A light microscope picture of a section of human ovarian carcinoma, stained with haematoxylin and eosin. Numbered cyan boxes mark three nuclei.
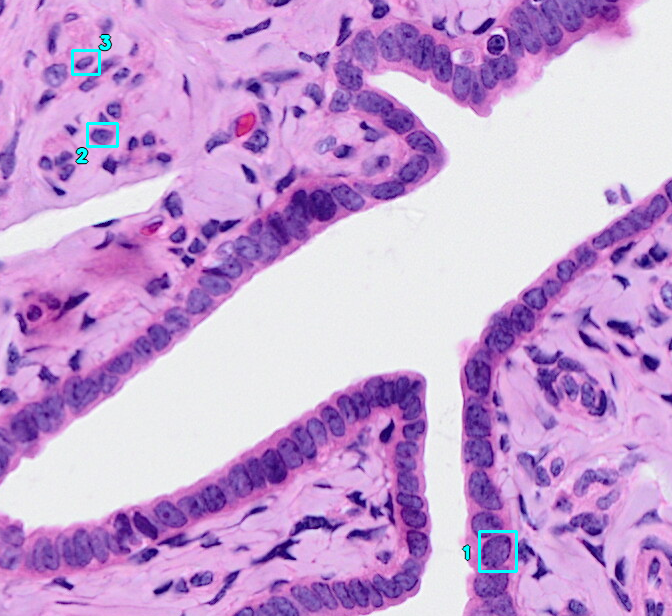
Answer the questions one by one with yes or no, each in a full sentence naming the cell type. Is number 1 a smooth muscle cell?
No, cell 1 is not a smooth muscle cell; a carcinoma cell is correct.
